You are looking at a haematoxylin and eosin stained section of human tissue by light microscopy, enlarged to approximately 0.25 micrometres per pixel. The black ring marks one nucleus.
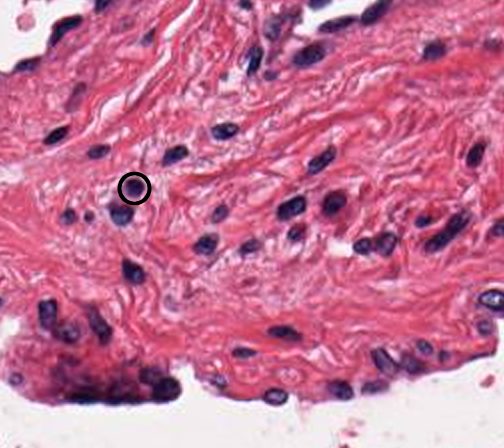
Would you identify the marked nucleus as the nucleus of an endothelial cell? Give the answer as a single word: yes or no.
no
